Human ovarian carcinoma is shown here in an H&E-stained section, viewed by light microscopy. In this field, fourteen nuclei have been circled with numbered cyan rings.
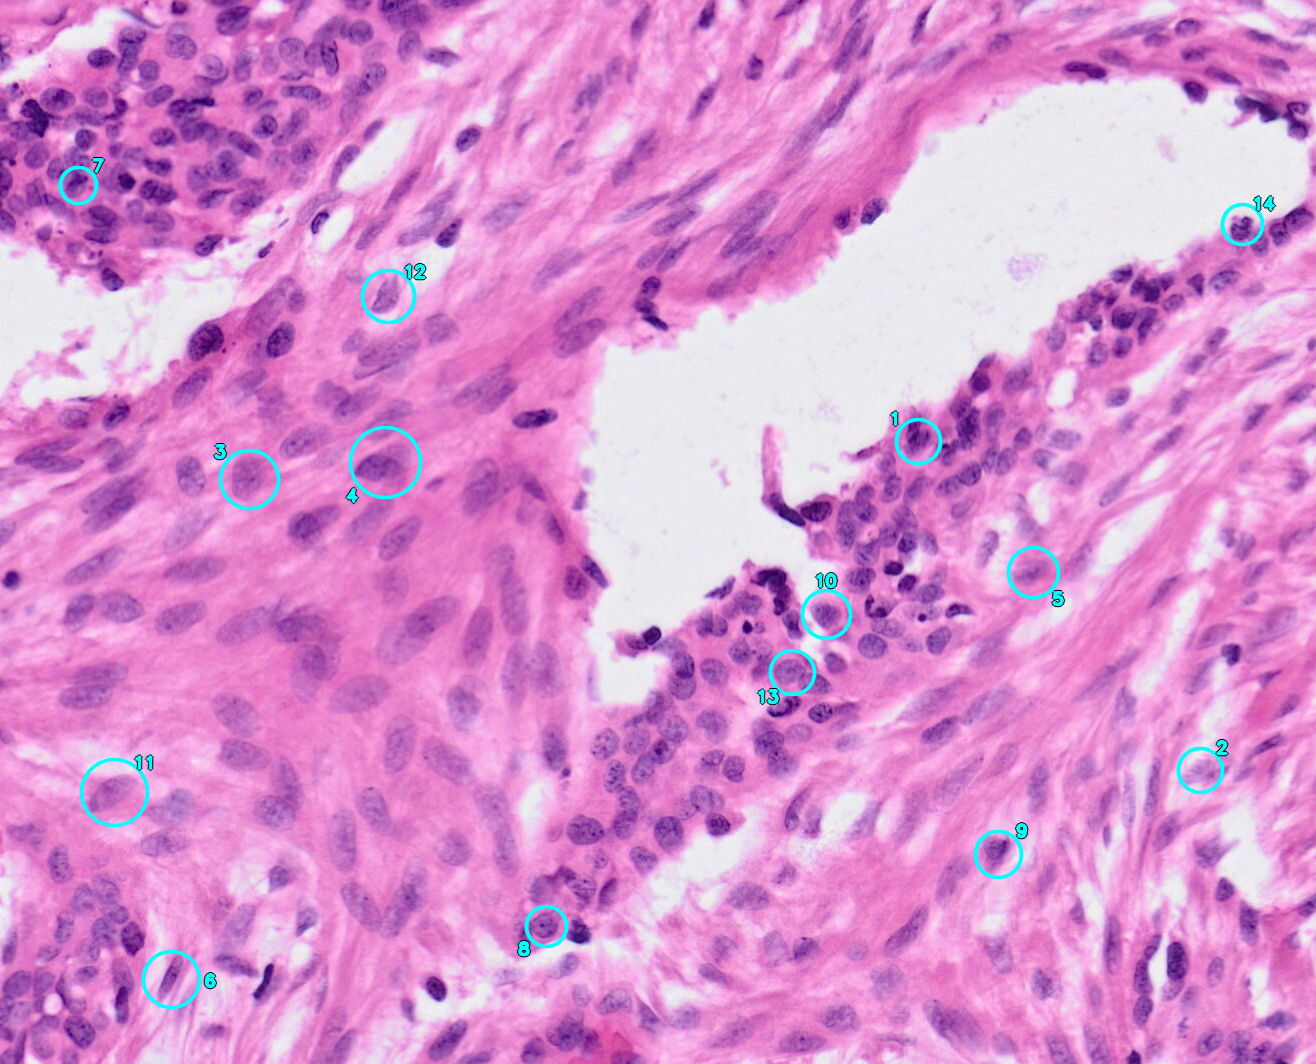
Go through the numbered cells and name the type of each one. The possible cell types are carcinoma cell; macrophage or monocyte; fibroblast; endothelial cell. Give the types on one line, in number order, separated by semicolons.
carcinoma cell; fibroblast; fibroblast; fibroblast; fibroblast; fibroblast; carcinoma cell; carcinoma cell; fibroblast; carcinoma cell; fibroblast; fibroblast; carcinoma cell; macrophage or monocyte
